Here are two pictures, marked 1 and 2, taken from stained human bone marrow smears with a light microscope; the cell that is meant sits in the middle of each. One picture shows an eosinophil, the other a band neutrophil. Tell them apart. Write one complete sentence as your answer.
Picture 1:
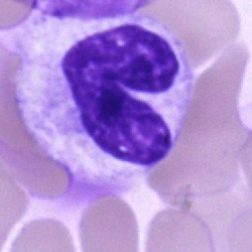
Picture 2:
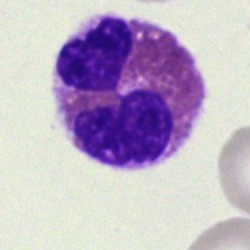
Picture 2 shows an eosinophil, while picture 1 shows a band neutrophil.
